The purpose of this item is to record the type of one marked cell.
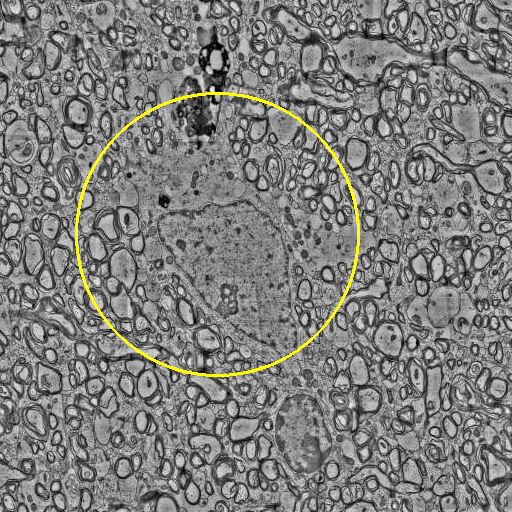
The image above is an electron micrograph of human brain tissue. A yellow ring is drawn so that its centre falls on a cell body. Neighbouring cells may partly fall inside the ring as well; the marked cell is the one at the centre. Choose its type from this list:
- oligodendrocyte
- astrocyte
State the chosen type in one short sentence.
What the ring marks here is an astrocyte.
